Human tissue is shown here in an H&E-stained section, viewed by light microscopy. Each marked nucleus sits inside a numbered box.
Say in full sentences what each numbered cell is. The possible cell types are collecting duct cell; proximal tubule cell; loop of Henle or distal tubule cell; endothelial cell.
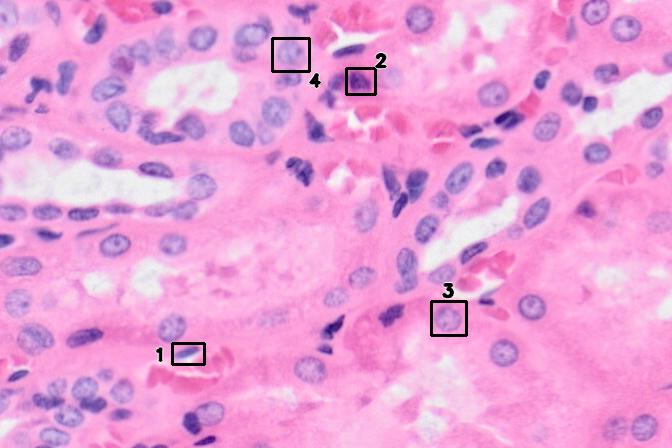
Cell 1 is an endothelial cell, cell 2 is a proximal tubule cell, cell 3 is a proximal tubule cell and cell 4 is a collecting duct cell.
